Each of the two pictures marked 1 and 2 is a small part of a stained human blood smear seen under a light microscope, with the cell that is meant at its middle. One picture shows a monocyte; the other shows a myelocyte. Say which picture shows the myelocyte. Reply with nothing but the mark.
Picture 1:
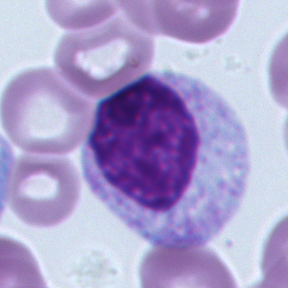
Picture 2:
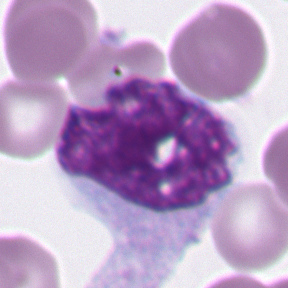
1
